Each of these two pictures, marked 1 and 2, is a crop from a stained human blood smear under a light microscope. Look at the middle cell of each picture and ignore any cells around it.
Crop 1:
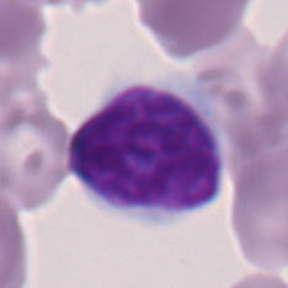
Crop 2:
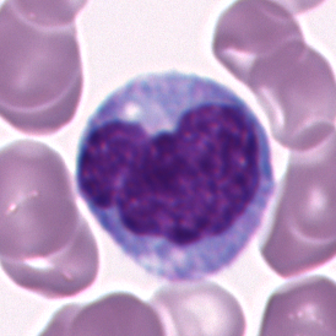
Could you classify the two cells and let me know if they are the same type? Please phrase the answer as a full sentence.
No, crop 1 carries a hairy cell at its centre, and crop 2 carries a monocyte.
